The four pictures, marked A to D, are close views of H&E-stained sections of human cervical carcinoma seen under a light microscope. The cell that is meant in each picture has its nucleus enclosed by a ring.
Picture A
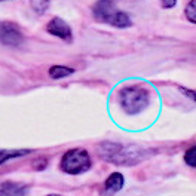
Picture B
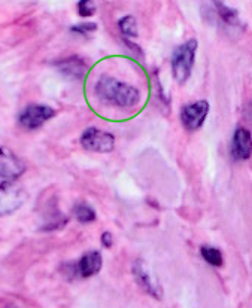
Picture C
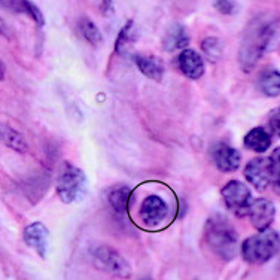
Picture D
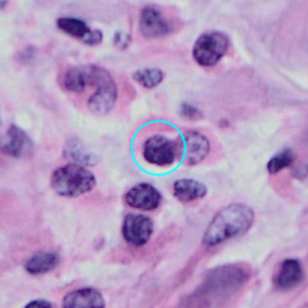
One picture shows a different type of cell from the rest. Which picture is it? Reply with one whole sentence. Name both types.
All pictures except B show lymphocytes; picture B shows a “macrophage or monocyte”.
